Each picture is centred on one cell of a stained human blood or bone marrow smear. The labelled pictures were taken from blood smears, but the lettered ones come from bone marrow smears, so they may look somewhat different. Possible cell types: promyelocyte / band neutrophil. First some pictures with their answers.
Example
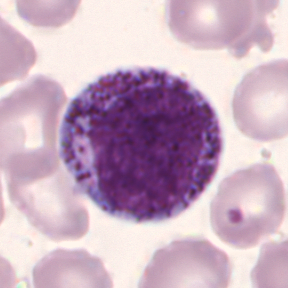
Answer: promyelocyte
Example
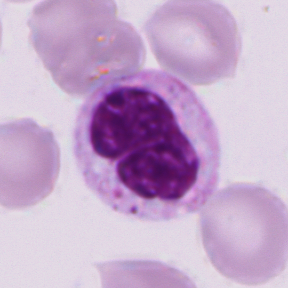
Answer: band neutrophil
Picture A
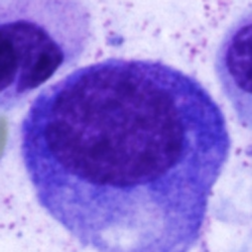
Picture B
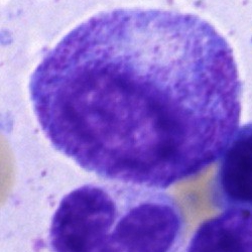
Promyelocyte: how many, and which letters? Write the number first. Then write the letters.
2, namely A, B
